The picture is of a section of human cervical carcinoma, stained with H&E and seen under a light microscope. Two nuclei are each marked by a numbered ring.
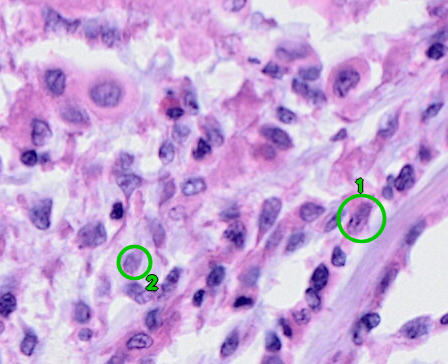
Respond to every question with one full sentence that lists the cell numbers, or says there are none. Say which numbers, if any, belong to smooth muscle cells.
Whichever numbered cell is considered, it is not one of the smooth muscle cells.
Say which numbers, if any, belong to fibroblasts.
Cell 2 is the only one of the numbered cells that is a fibroblast.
